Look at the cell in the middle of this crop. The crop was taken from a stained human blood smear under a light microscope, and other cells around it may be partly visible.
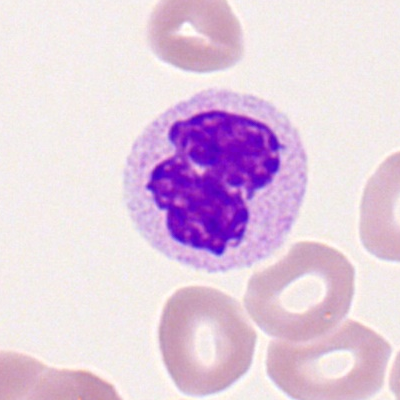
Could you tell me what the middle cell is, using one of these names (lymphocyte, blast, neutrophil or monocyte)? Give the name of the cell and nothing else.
neutrophil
